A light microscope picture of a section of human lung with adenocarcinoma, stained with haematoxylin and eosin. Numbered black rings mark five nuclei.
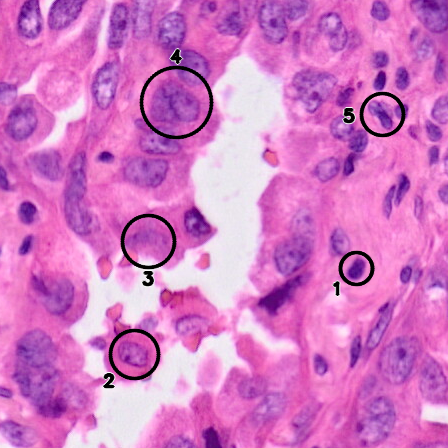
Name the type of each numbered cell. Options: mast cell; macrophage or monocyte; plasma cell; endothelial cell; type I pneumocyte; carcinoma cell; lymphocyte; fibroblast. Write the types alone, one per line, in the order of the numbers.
lymphocyte
macrophage or monocyte
carcinoma cell
carcinoma cell
lymphocyte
